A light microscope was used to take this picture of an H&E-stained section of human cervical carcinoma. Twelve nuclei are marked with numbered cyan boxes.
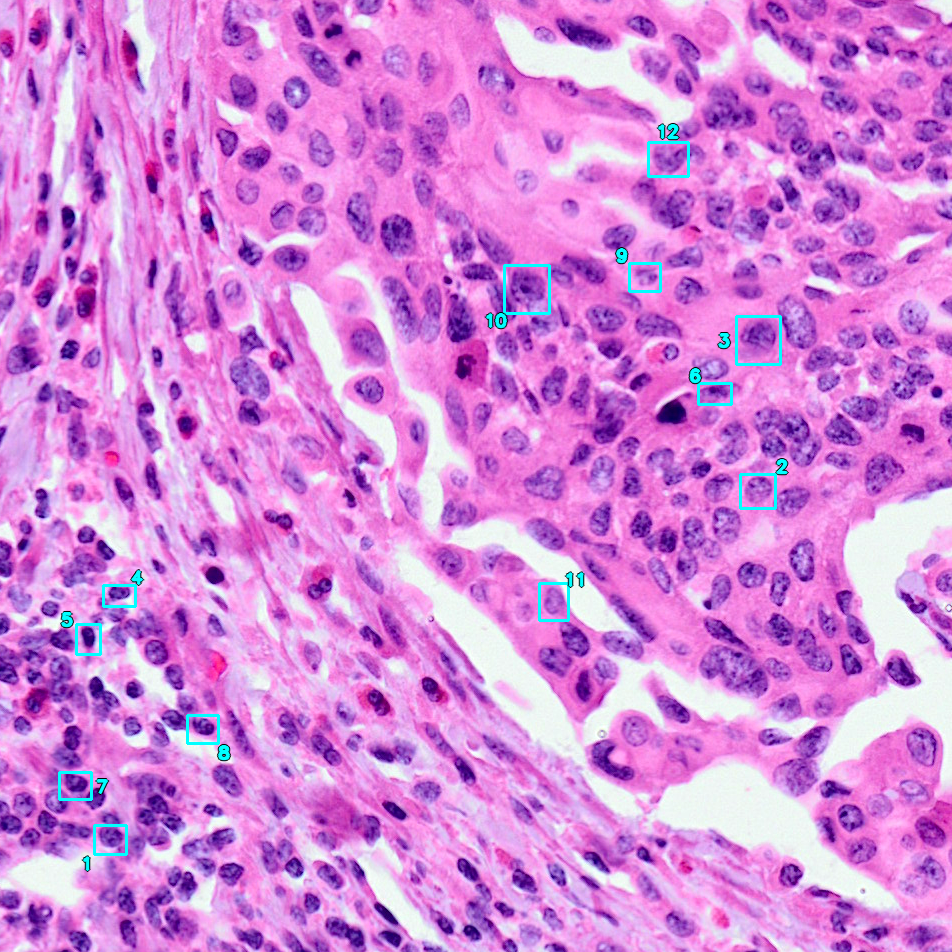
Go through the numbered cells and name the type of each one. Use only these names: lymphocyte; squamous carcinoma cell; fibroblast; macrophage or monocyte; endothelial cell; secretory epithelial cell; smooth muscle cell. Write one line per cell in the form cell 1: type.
cell 1: lymphocyte
cell 2: squamous carcinoma cell
cell 3: squamous carcinoma cell
cell 4: lymphocyte
cell 5: lymphocyte
cell 6: squamous carcinoma cell
cell 7: lymphocyte
cell 8: lymphocyte
cell 9: squamous carcinoma cell
cell 10: squamous carcinoma cell
cell 11: squamous carcinoma cell
cell 12: squamous carcinoma cell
